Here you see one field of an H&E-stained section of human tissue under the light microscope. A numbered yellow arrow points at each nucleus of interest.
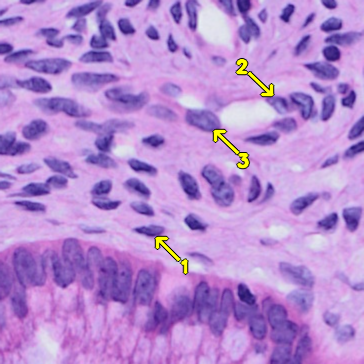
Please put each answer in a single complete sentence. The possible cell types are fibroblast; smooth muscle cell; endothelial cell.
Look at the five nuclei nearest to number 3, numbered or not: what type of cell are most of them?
Most of the five nuclei nearest to number 3 are those of endothelial cells.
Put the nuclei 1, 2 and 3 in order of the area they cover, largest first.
Going from the biggest nucleus down to the smallest gives 3, 2, 1.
